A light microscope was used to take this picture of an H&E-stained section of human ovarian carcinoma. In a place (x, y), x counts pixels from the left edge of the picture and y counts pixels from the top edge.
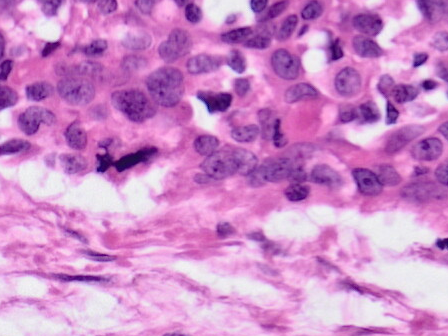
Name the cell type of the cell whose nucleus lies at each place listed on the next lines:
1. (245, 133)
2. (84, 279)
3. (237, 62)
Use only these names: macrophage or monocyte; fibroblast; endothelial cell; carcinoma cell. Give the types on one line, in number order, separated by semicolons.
macrophage or monocyte; fibroblast; carcinoma cell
